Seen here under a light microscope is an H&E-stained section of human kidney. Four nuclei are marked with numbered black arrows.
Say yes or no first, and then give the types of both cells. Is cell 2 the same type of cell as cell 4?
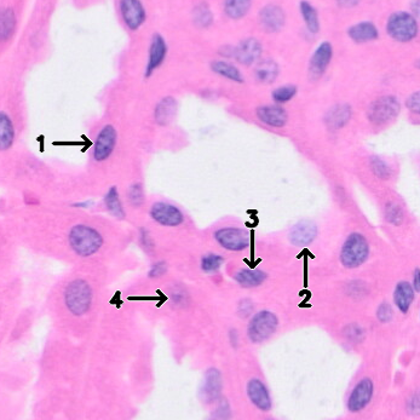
No, cell 2 is a loop of Henle or distal tubule cell, but cell 4 is a proximal tubule cell.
